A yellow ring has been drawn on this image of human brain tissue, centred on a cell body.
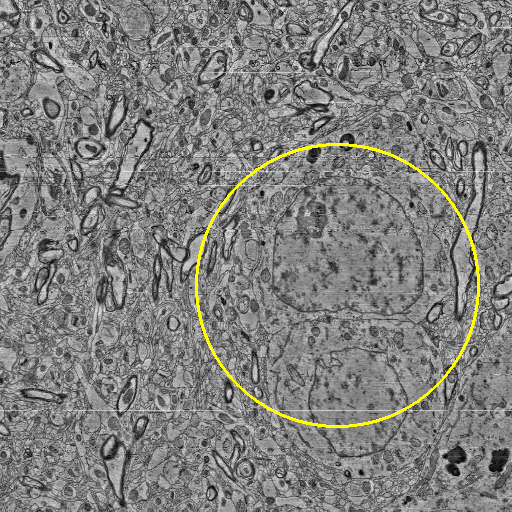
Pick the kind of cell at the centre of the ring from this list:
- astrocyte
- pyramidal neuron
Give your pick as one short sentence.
The centre of the ring holds a pyramidal neuron.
